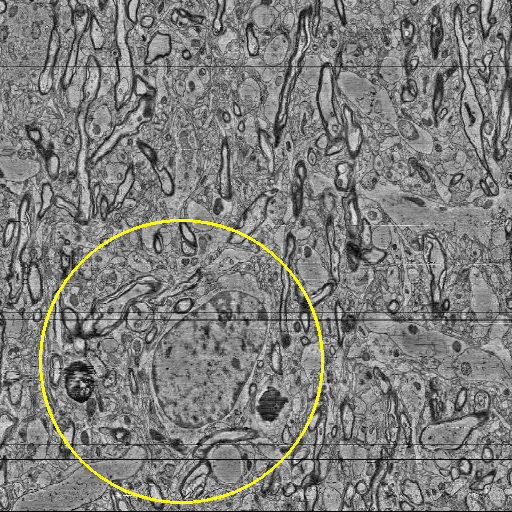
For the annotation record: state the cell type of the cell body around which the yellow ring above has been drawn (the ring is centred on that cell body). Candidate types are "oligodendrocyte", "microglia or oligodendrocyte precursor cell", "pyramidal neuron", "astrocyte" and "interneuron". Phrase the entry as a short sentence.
The ringed cell is a microglial cell or oligodendrocyte precursor cell.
